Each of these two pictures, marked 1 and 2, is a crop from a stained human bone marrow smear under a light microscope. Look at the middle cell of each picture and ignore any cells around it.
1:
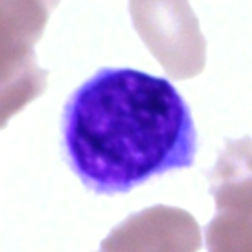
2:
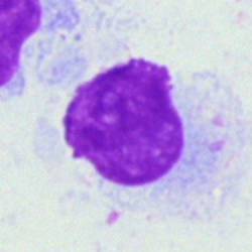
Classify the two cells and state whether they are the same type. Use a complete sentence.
Yes, both crops show a cell each, and these are hairy cells.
